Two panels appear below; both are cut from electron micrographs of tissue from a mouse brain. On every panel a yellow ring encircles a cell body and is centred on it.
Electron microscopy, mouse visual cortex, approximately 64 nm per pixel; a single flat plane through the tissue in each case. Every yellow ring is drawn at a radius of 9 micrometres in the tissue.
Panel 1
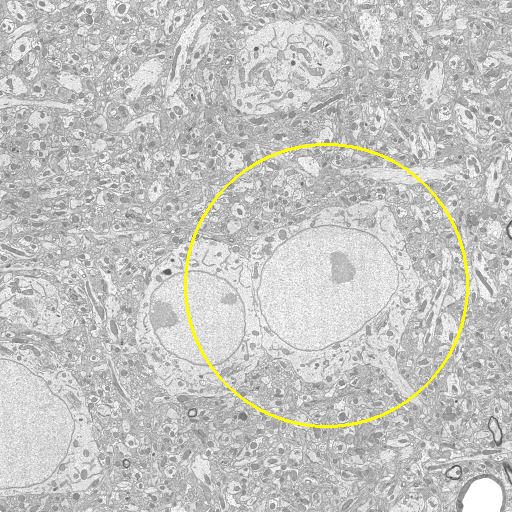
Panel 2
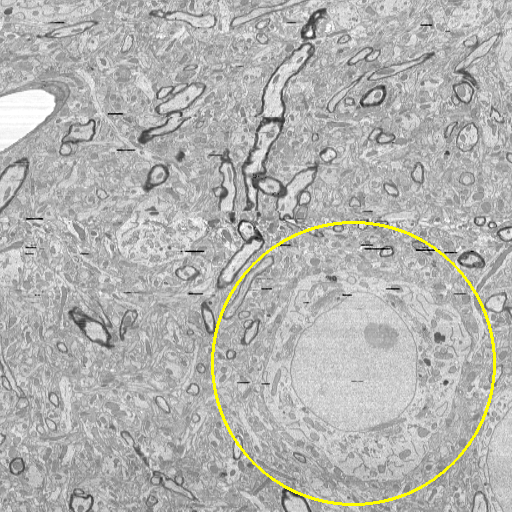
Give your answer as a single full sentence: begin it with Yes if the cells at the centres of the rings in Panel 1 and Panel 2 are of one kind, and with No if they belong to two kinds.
Yes, the cells in the middle of the rings in Panels 1 and 2 are of one kind.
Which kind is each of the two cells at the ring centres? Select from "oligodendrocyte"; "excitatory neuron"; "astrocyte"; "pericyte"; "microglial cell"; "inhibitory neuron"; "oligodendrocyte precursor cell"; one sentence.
The second cell is an excitatory neuron, just as the first is.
